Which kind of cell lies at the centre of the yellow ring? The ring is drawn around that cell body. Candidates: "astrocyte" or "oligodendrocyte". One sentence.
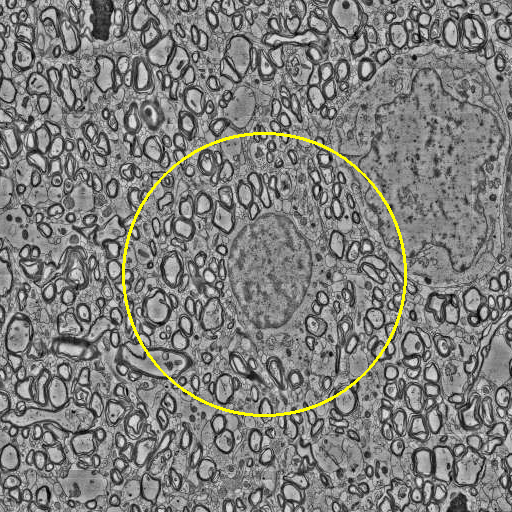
Lying at the centre of the ring is an oligodendrocyte.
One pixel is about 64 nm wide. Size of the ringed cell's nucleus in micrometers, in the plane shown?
About 7 by 6 micrometers for the nucleus, in this plane.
